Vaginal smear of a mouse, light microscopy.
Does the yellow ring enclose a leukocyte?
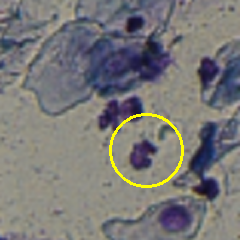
Yes. The ring encloses a leukocyte.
